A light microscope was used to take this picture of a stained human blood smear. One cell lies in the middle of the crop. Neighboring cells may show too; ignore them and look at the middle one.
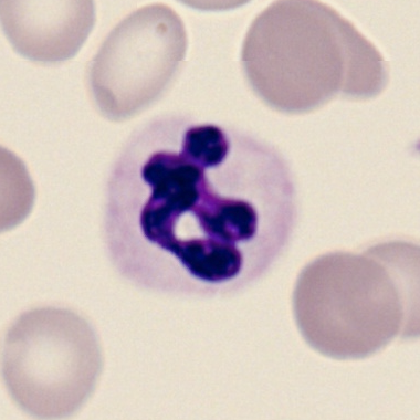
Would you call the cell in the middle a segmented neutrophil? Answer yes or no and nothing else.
yes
